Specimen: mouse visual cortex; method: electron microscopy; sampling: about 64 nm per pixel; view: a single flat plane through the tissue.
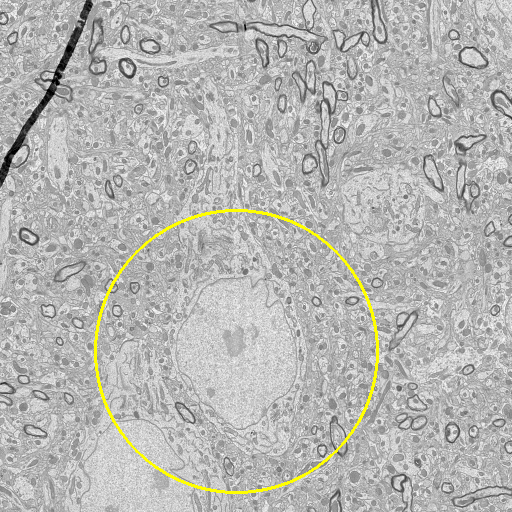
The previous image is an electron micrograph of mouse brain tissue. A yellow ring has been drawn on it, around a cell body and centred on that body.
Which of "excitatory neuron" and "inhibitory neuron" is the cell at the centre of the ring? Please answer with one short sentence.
The cell body at the centre of the ring belongs to an inhibitory neuron.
